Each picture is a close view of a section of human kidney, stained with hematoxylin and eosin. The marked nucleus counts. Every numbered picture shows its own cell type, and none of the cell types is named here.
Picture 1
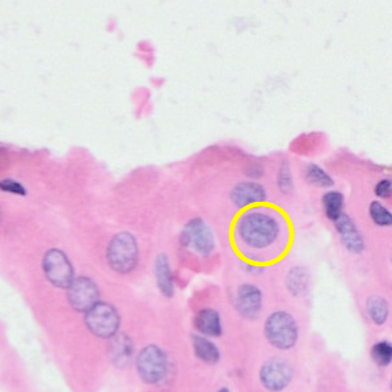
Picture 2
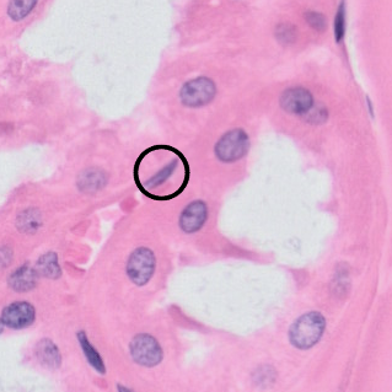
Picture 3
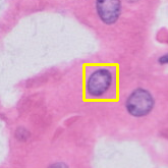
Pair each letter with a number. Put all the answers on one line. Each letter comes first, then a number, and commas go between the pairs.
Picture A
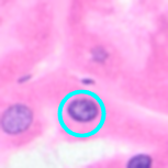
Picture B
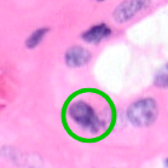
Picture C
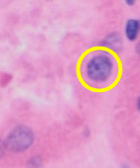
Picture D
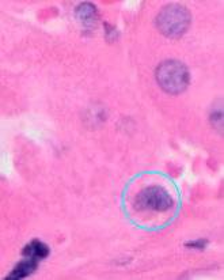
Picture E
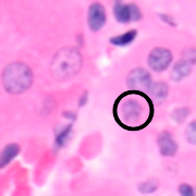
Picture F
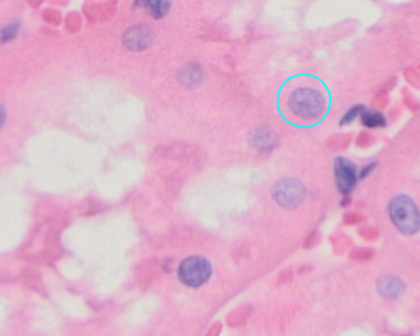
A 3, B 1, C 3, D 2, E 1, F 3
